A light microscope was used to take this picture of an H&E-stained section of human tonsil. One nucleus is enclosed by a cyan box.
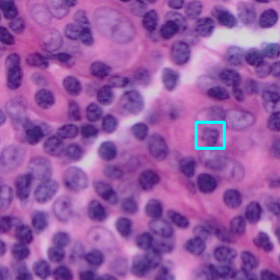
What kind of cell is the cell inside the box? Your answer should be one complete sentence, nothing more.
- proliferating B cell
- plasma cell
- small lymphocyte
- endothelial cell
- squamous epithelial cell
In the tissue at hand, the cell inside the box is an endothelial cell.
